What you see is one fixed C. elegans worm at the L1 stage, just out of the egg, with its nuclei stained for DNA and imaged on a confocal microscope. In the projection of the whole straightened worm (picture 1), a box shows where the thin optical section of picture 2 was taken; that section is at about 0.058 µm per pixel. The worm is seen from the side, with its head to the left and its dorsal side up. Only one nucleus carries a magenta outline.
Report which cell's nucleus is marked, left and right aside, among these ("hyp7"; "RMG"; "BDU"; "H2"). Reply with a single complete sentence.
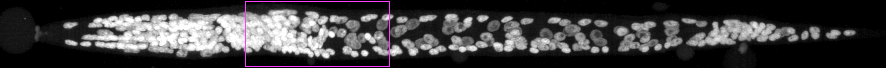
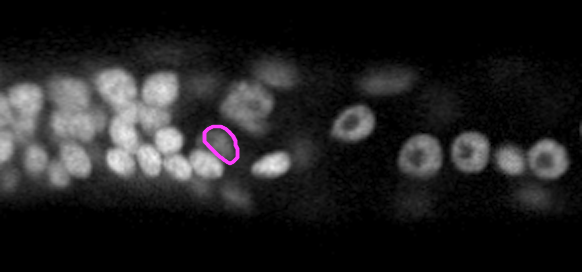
The cell whose nucleus is marked is H2, a seam cell.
